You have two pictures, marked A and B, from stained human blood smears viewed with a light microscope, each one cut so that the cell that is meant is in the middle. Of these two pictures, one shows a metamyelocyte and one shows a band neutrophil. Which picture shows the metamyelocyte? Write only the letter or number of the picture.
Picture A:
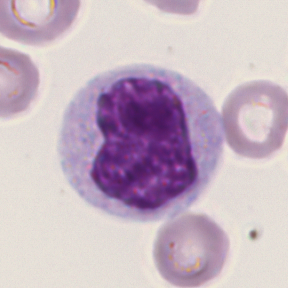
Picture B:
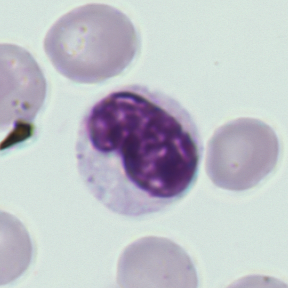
A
